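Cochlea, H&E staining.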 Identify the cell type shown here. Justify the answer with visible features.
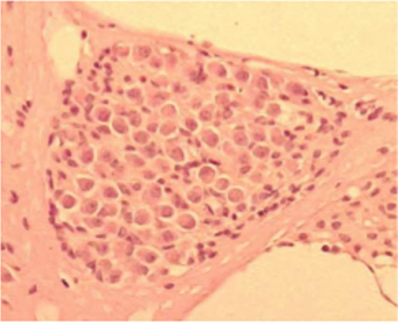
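Auditory neurons. Large round cell bodies packed closely together in a ganglion-like cluster. Each large cell has a round, centrally placed nucleus and ample pink cytoplasm. Small dark elongated nuclei of surrounding cells lie between them.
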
